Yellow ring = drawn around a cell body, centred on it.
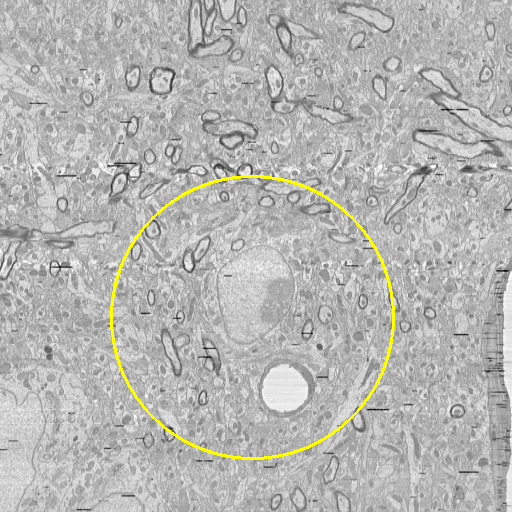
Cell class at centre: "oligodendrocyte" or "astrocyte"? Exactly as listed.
astrocyte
